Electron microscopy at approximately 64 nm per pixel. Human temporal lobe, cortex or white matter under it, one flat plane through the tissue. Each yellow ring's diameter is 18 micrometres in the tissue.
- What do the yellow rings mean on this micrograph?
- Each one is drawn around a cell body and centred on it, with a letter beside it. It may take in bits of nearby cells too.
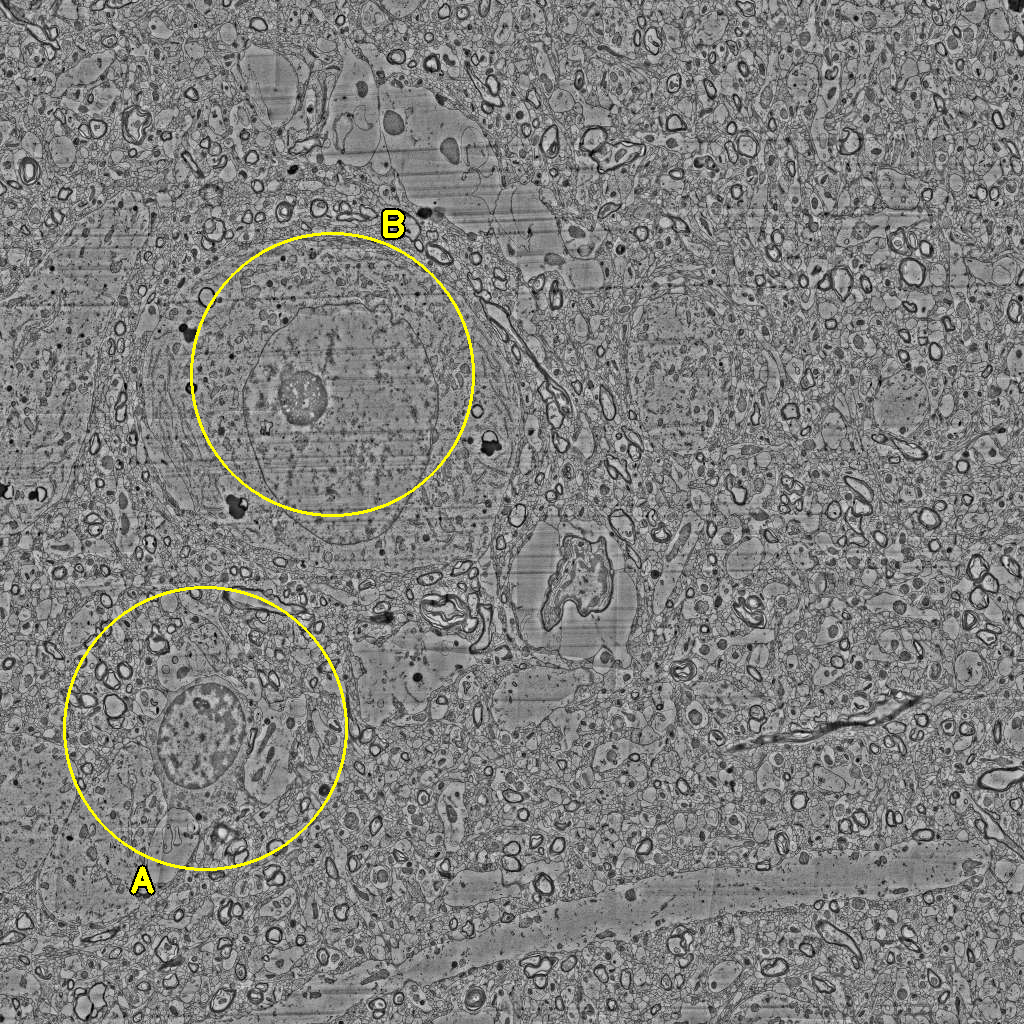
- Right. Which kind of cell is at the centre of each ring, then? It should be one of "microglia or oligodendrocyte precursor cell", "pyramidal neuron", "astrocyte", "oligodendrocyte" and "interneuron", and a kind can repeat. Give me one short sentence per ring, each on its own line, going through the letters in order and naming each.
Ring A circles the cell body of an oligodendrocyte.
Ring B circles the cell body of a pyramidal neuron.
